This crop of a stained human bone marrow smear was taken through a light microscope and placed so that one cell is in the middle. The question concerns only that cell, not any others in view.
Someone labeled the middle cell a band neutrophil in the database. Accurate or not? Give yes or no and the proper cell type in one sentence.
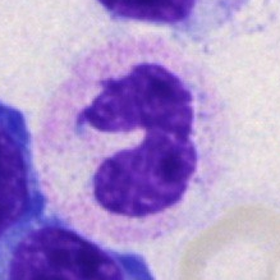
Yes, the cell at the centre of the field is a band neutrophil.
